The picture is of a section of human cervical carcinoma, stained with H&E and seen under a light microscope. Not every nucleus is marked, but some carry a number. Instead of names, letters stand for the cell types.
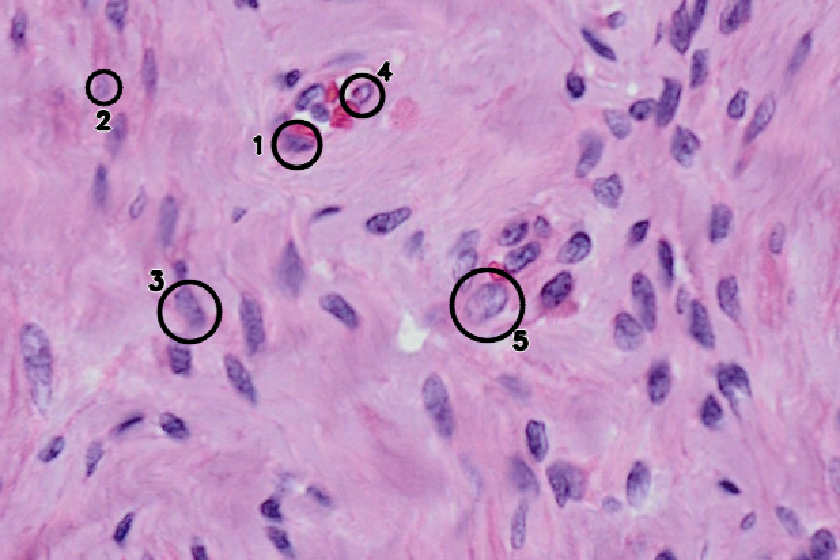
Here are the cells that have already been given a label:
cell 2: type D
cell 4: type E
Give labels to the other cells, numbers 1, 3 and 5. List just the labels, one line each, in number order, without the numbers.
type E
type D
type E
